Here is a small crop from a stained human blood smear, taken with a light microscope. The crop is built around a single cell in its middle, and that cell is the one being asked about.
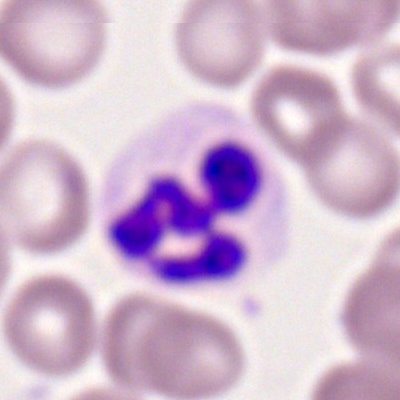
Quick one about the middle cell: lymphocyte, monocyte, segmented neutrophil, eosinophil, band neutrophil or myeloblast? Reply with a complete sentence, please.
Seen at the centre of the crop is a segmented neutrophil.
